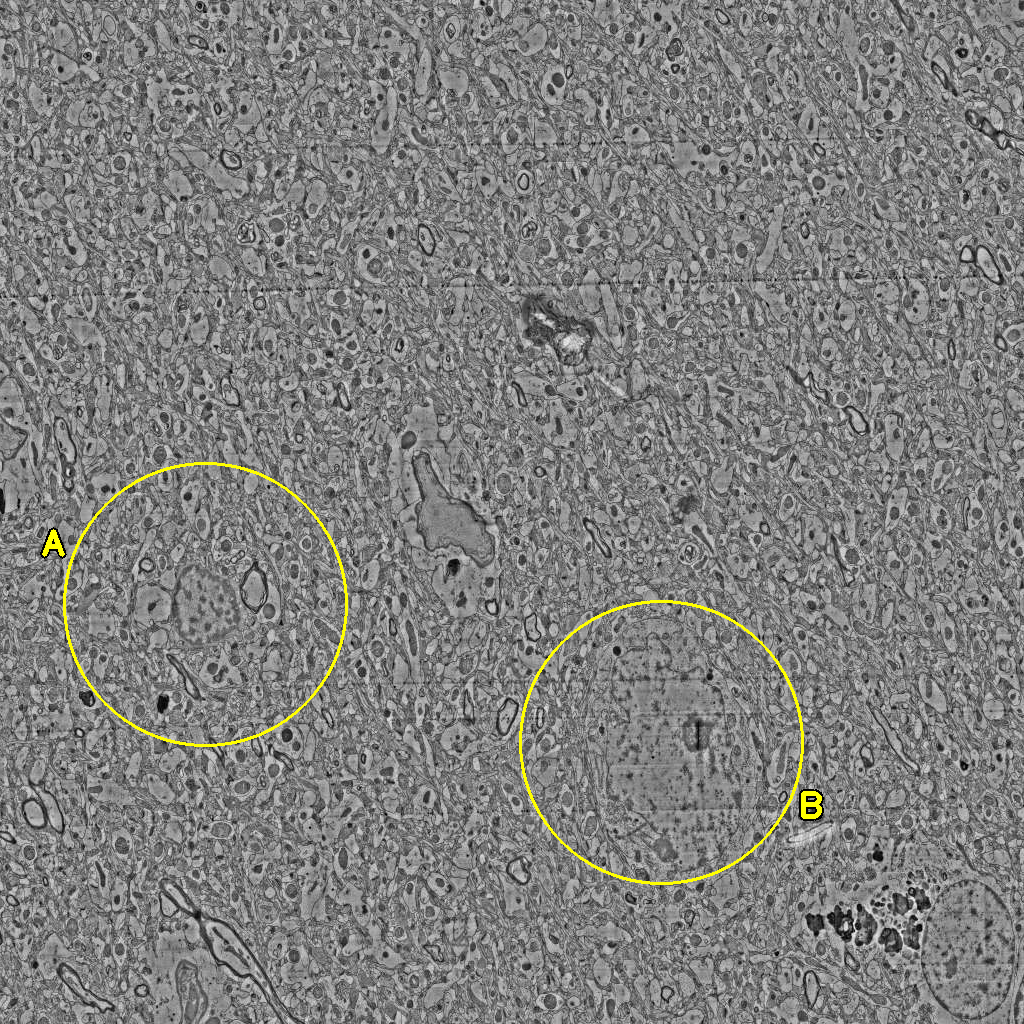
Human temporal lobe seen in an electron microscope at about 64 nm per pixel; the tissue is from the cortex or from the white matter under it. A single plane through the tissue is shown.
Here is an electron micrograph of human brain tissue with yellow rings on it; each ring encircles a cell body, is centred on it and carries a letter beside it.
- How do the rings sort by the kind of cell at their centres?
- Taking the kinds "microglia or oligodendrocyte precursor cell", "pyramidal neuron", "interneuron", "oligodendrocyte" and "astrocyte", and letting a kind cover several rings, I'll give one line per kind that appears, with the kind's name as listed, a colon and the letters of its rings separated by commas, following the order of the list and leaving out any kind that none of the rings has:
interneuron: B
oligodendrocyte: A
